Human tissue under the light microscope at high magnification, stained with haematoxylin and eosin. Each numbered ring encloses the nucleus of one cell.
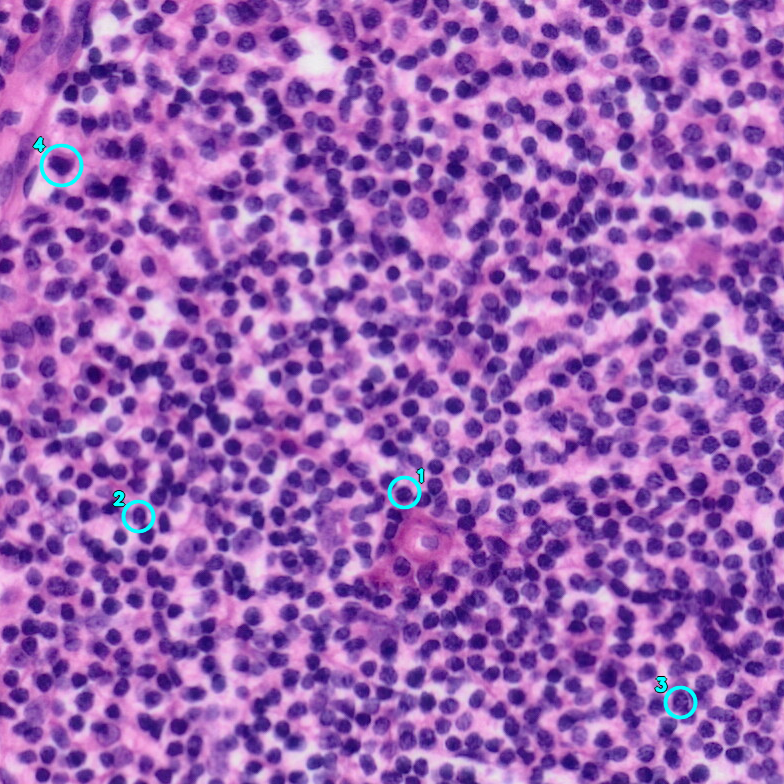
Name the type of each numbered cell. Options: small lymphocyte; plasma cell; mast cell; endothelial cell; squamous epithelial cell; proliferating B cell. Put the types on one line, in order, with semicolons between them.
small lymphocyte; small lymphocyte; small lymphocyte; proliferating B cell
